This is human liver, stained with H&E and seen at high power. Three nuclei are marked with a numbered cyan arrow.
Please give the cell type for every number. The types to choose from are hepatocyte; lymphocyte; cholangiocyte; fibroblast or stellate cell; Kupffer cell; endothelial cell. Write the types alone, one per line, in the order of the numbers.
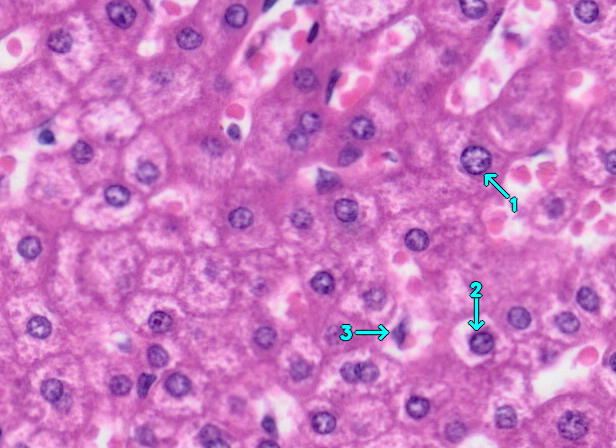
hepatocyte
hepatocyte
Kupffer cell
